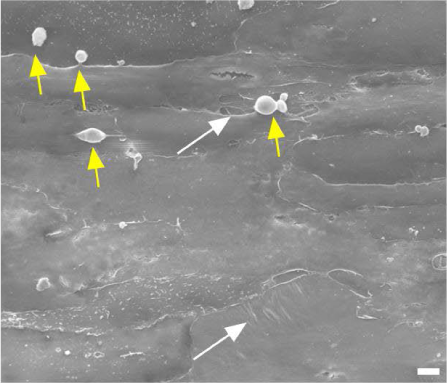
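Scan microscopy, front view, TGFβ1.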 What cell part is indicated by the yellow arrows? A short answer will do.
Surface blebs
